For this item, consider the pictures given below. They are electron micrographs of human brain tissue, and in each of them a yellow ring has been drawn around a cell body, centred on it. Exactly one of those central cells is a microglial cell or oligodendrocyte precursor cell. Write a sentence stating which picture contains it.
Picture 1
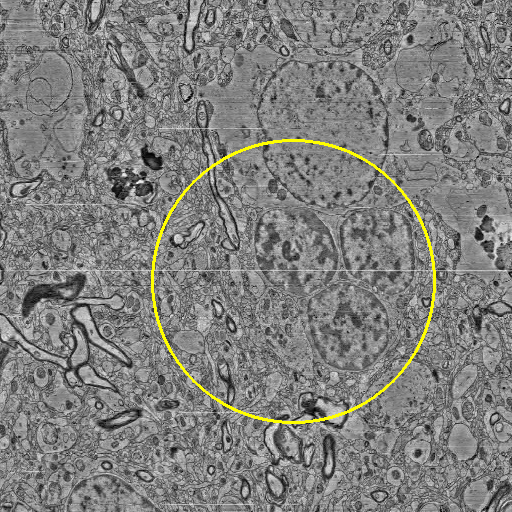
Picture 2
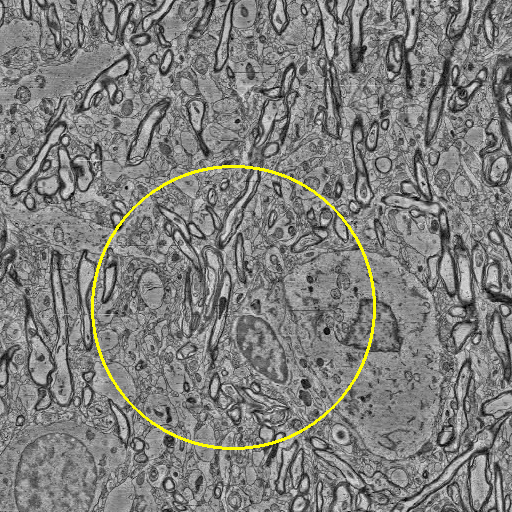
It is in Picture 2.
